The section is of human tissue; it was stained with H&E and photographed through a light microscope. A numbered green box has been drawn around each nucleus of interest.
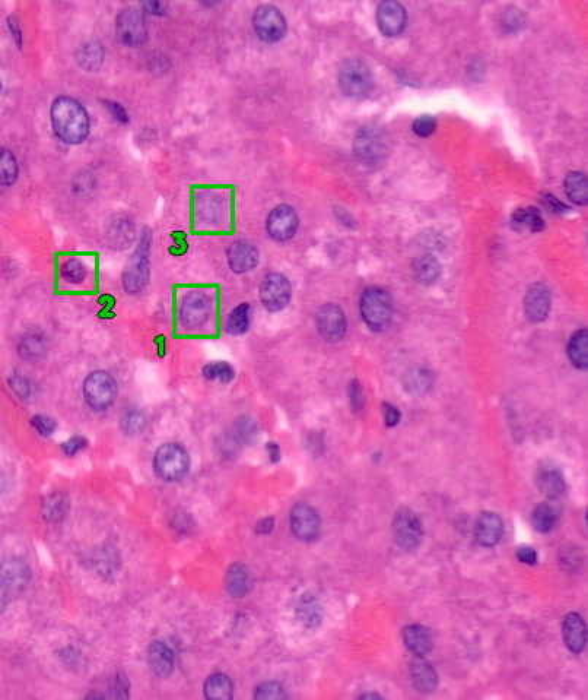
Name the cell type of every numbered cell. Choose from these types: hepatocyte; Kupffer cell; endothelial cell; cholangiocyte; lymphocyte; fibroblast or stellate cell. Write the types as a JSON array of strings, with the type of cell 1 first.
["hepatocyte", "lymphocyte", "hepatocyte"]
